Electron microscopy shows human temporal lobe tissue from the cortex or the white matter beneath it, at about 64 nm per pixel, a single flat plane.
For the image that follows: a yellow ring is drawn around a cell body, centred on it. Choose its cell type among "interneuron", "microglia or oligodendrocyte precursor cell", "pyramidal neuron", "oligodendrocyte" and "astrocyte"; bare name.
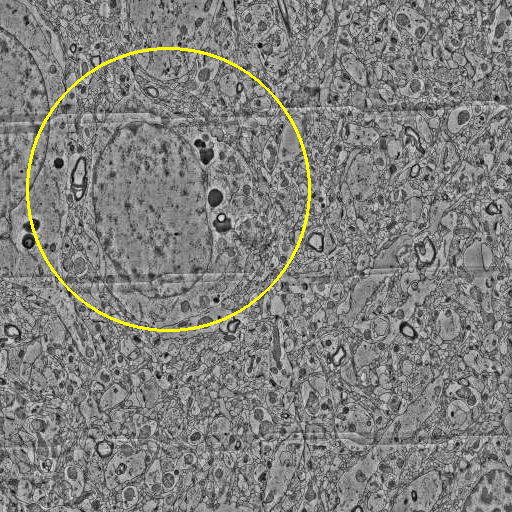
interneuron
